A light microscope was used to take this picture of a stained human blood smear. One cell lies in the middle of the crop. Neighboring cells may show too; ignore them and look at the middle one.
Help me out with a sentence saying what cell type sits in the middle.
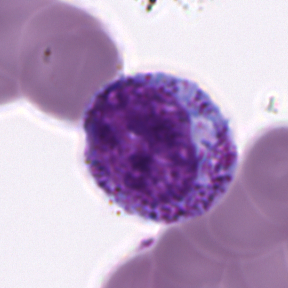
In the centre of this crop there is a promyelocyte.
